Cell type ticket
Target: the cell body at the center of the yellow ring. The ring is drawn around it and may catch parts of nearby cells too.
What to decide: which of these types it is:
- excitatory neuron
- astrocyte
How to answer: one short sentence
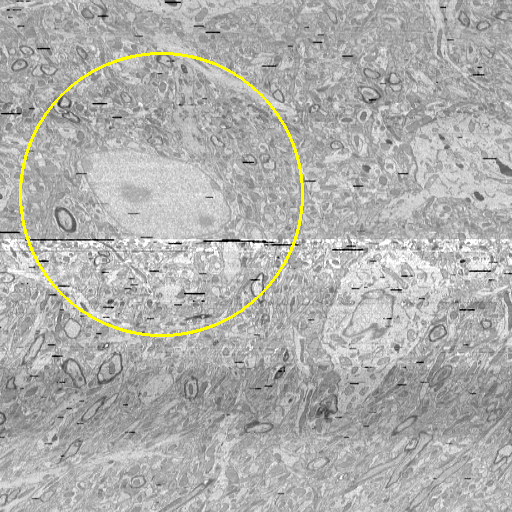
The cell at the center of the ring is an astrocyte.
